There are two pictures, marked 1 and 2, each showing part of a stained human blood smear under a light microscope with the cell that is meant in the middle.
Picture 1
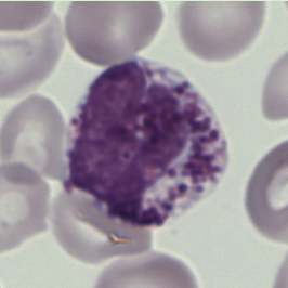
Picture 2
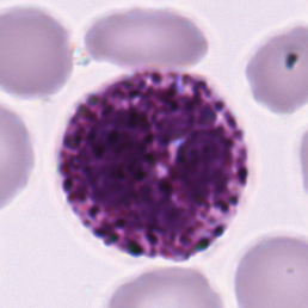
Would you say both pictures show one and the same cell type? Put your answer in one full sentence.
Yes, they are the same type: both are basophils.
